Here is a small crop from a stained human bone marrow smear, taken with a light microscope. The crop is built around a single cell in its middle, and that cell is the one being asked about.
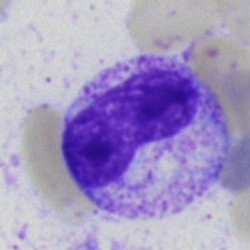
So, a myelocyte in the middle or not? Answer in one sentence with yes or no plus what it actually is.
Yes, the cell of interest in the middle is a myelocyte.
